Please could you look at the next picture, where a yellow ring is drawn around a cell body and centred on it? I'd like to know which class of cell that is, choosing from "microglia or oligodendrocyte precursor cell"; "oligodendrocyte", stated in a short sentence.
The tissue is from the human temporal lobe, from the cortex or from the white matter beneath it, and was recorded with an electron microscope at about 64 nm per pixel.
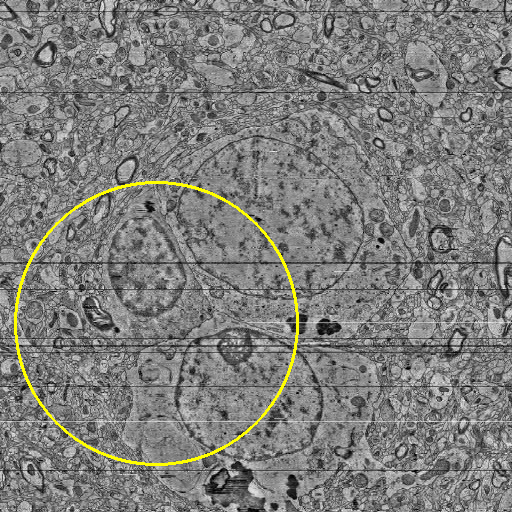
The ring's centre lies on an oligodendrocyte.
